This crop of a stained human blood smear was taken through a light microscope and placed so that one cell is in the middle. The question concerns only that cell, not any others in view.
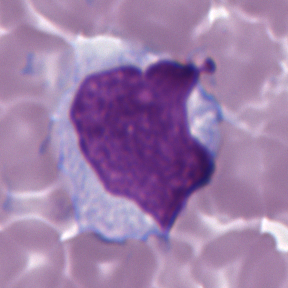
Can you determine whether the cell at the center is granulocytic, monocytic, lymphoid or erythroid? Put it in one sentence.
Lineage classification of the central cell is monocytic.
